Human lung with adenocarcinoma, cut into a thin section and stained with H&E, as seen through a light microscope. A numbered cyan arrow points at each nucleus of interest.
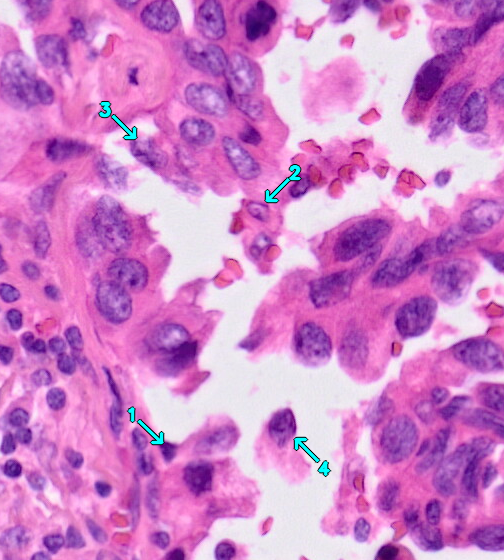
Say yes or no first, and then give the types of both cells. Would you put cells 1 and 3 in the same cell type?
No, cell 1 is a lymphocyte and cell 3 is a carcinoma cell.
